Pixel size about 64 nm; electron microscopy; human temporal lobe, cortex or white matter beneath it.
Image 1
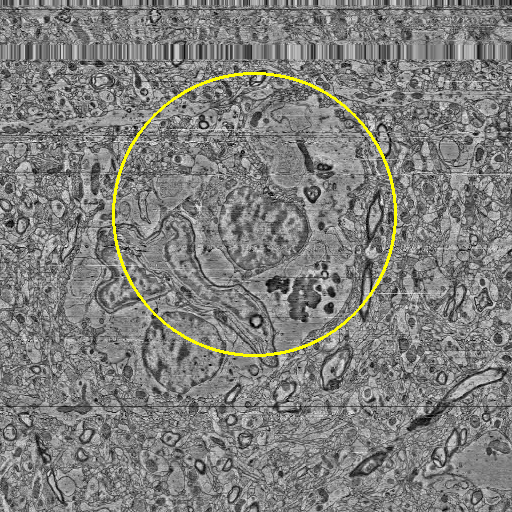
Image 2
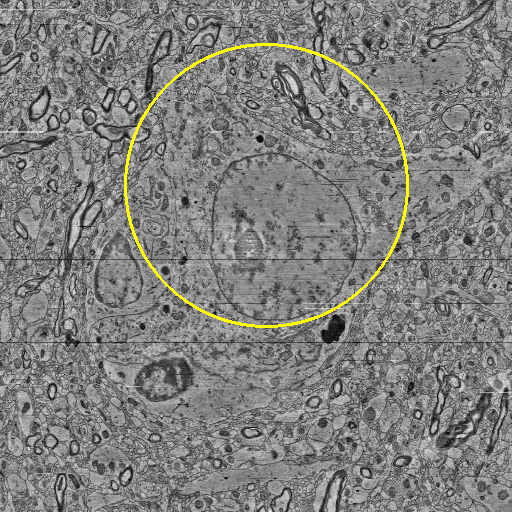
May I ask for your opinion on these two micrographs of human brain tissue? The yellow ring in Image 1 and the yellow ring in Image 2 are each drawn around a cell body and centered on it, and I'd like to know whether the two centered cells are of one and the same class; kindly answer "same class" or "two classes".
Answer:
two classes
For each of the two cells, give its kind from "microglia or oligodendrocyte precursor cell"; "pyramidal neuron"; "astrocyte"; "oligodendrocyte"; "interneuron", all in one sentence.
The first picture has an oligodendrocyte in its ring, the second has a pyramidal neuron.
